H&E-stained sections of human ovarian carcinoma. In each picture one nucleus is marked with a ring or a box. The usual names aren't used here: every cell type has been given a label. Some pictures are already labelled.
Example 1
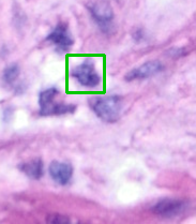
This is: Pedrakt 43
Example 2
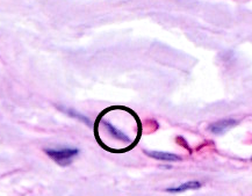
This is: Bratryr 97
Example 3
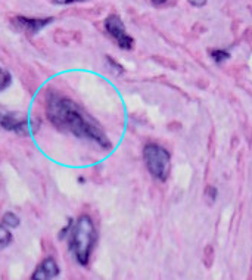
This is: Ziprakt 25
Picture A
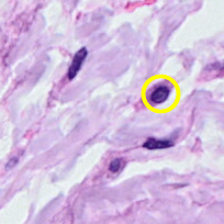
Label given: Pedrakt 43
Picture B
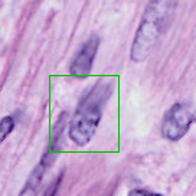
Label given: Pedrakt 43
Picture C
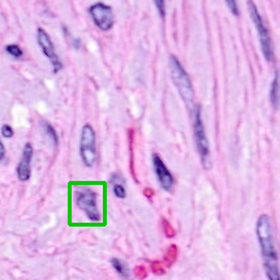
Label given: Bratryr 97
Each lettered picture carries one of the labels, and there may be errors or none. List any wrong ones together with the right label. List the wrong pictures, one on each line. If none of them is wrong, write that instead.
C: Ziprakt 25, not Bratryr 97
